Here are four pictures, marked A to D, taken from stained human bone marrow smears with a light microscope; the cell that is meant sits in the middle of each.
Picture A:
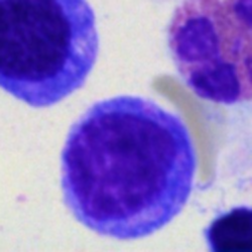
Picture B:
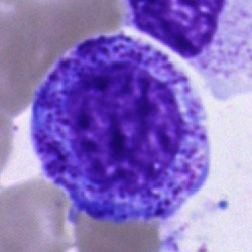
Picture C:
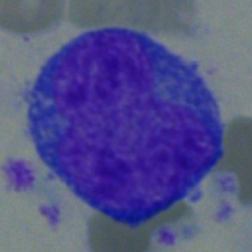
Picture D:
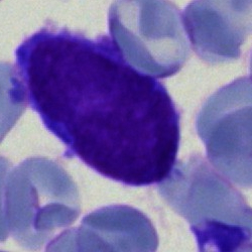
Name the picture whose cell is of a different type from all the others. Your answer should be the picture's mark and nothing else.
B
